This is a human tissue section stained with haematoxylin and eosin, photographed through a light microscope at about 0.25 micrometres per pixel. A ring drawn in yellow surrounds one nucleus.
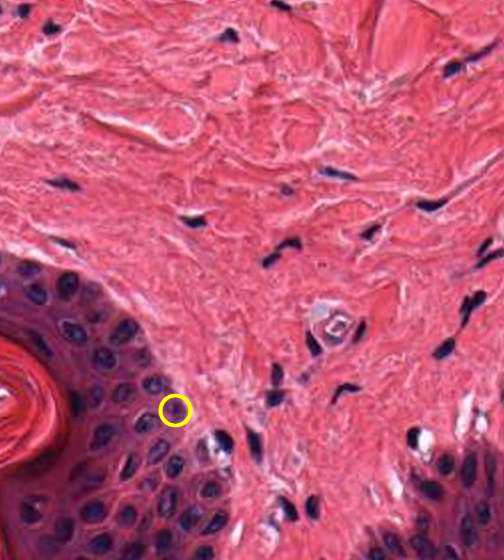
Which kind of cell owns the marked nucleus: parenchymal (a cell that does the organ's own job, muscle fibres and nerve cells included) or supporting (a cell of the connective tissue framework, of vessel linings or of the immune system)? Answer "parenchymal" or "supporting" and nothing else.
parenchymal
